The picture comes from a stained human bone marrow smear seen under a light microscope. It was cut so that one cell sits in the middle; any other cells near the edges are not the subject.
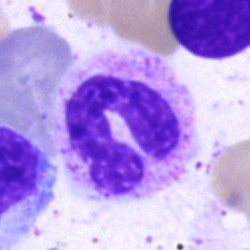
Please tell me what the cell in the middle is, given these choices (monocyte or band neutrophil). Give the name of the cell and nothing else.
band neutrophil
